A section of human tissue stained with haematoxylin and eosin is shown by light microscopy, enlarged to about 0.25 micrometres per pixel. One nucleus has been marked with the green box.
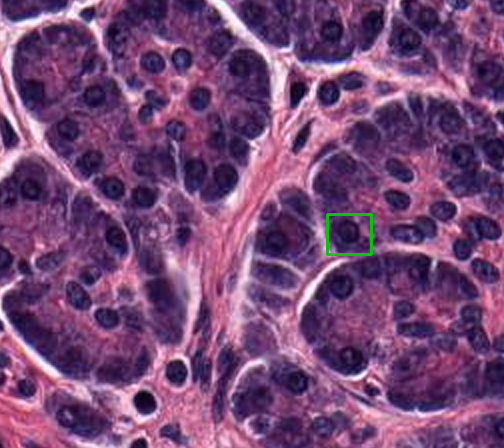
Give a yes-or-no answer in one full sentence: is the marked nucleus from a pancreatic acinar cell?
Yes, the nucleus indicated by the marking belongs to a pancreatic acinar cell.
